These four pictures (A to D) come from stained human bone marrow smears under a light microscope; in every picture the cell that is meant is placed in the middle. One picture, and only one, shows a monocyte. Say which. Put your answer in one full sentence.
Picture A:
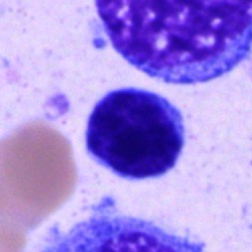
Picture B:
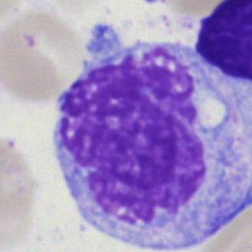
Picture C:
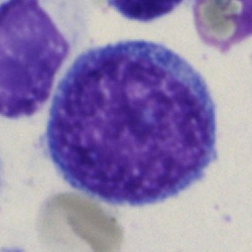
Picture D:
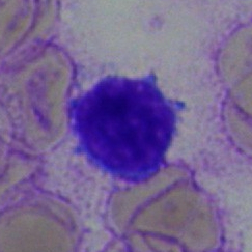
The picture with the monocyte is B.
